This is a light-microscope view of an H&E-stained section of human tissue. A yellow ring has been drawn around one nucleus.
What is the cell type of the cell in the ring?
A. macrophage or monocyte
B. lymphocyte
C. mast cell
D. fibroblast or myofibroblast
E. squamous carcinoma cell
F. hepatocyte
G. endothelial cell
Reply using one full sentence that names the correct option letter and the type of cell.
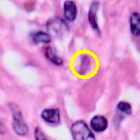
Since the cell in the ring is a fibroblast or myofibroblast, option D is correct.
